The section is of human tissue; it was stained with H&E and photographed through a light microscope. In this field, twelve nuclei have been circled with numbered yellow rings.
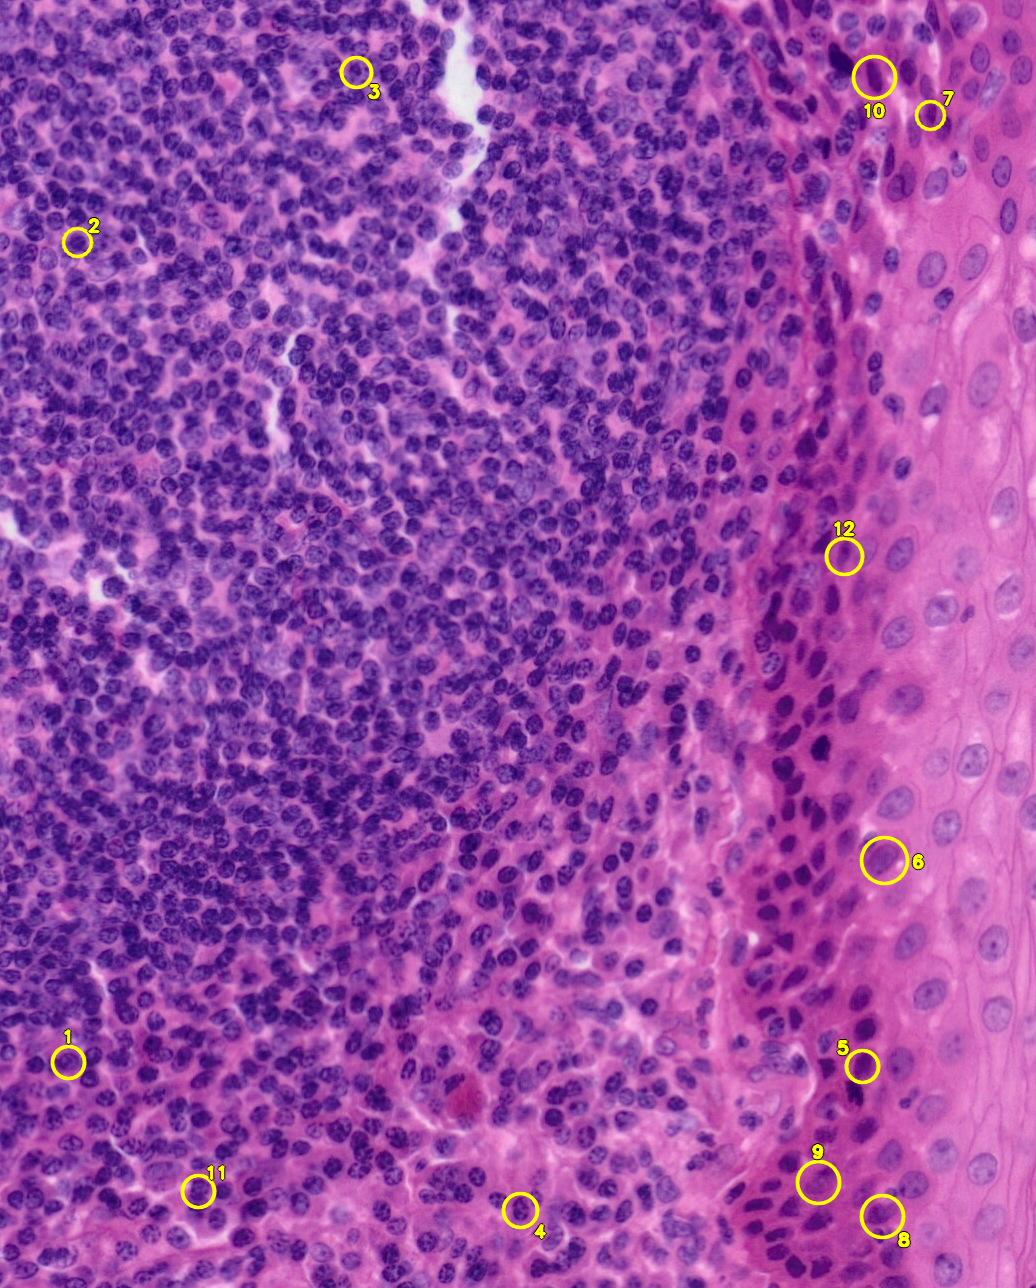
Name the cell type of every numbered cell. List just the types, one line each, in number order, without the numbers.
plasma cell
small lymphocyte
small lymphocyte
plasma cell
squamous epithelial cell
squamous epithelial cell
squamous epithelial cell
squamous epithelial cell
squamous epithelial cell
squamous epithelial cell
plasma cell
squamous epithelial cell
